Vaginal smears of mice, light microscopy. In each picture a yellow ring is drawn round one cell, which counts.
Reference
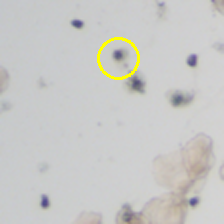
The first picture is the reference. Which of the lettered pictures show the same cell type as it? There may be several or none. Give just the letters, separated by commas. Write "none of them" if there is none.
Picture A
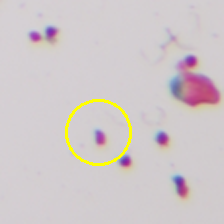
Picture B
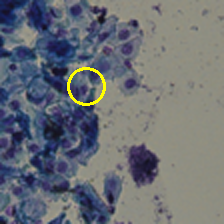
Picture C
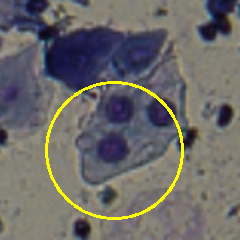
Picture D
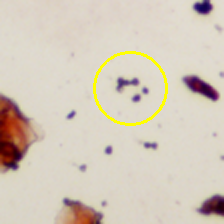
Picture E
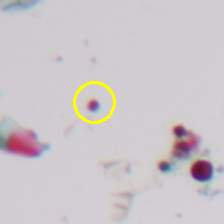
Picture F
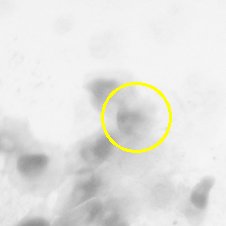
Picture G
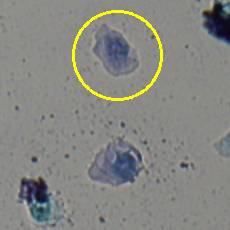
A, D, E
